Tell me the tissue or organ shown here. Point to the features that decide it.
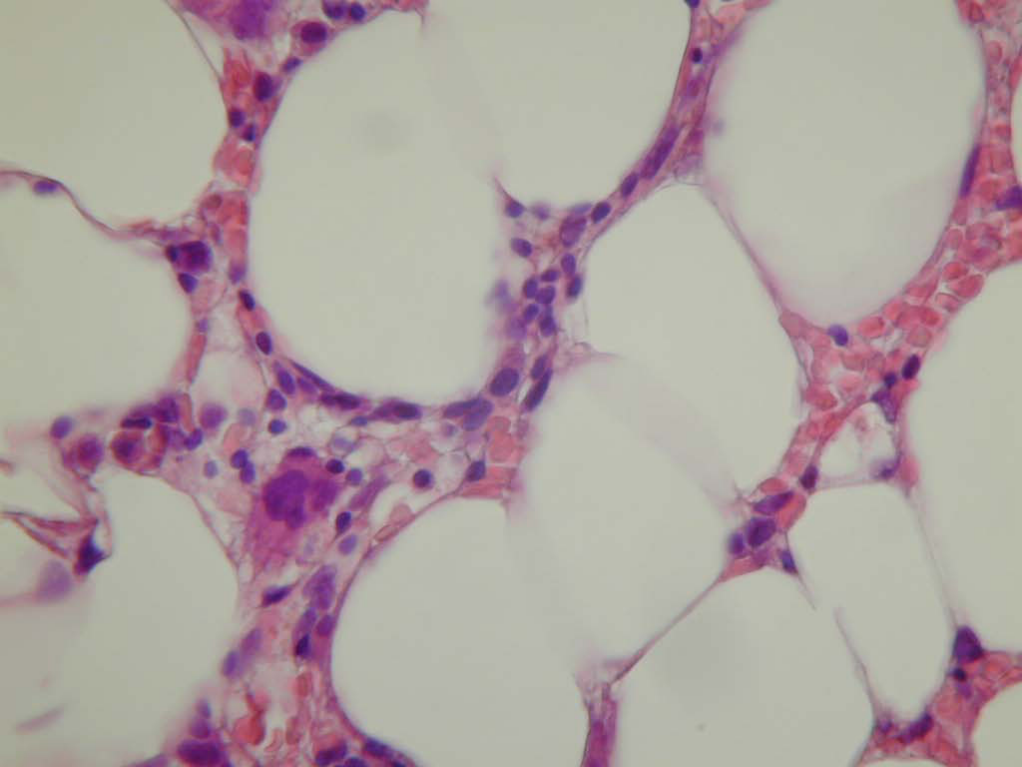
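Large, empty, rounded fat spaces fill most of the field. Narrow cords between the fat spaces hold mixed small nucleated cells and red blood cells. A very large cell with a lobulated nucleus lies in one of the cords. The answer: Bone marrow.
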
